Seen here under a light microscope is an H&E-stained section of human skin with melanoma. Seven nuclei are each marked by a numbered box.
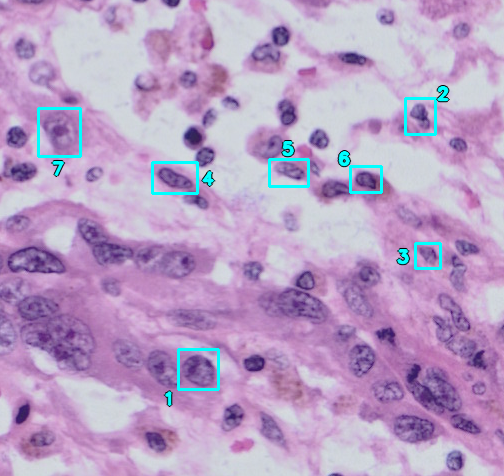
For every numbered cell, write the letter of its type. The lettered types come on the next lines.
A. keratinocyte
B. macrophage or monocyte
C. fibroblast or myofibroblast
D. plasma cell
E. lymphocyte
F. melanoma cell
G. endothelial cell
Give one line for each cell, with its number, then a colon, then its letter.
1: F
2: E
3: B
4: B
5: B
6: B
7: F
